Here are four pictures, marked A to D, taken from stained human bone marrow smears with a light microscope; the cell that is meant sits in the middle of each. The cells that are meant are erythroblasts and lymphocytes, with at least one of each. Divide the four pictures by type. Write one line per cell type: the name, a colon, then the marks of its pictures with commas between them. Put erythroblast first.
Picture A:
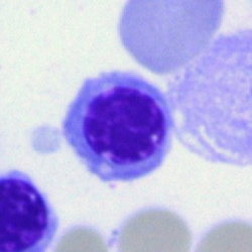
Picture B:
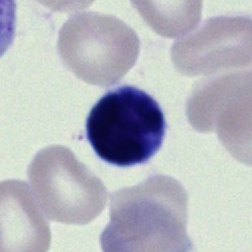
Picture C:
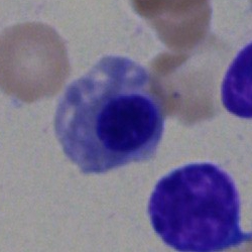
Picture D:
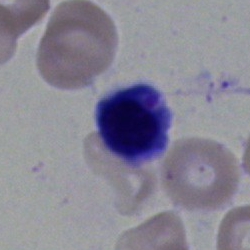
erythroblast: A, C, D
lymphocyte: B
